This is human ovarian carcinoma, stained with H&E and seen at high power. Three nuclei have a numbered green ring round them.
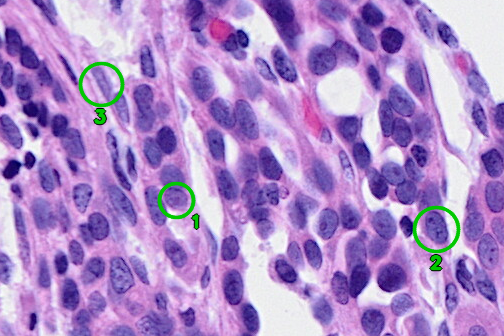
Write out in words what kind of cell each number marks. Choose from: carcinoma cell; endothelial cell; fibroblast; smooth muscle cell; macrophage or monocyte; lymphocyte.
Cells 1 and 2 are carcinoma cells. Cell 3 is a fibroblast.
